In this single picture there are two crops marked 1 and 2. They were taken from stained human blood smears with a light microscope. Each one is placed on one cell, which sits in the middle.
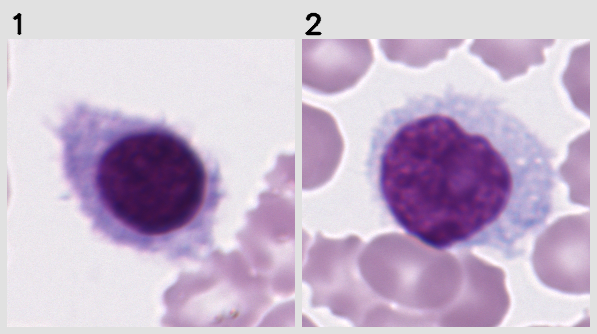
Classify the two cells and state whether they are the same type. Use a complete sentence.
Yes, they do, both crops show hairy cells.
